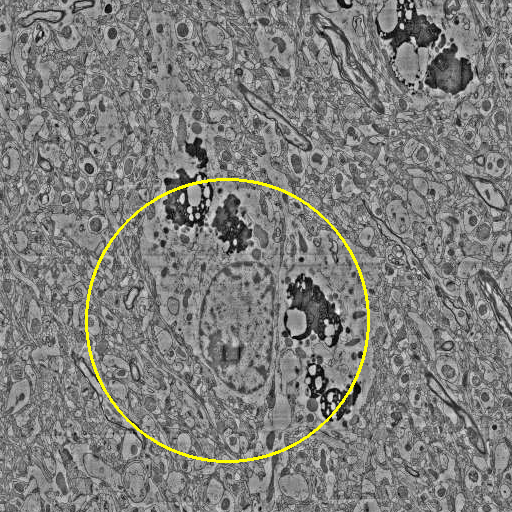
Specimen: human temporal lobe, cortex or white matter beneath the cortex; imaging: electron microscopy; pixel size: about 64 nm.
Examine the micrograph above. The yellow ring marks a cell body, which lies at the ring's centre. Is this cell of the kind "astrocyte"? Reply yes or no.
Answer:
yes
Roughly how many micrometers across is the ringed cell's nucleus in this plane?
About 8 by 5 micrometres; in this plane the nucleus is clearly longer than it is wide.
